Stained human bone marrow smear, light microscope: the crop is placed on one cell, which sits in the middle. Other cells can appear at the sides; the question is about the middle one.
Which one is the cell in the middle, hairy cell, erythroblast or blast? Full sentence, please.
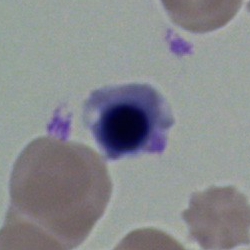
Classification of the middle cell gives an erythroblast.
